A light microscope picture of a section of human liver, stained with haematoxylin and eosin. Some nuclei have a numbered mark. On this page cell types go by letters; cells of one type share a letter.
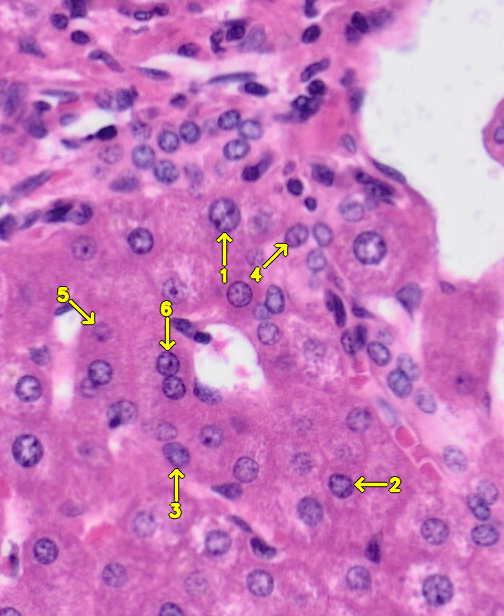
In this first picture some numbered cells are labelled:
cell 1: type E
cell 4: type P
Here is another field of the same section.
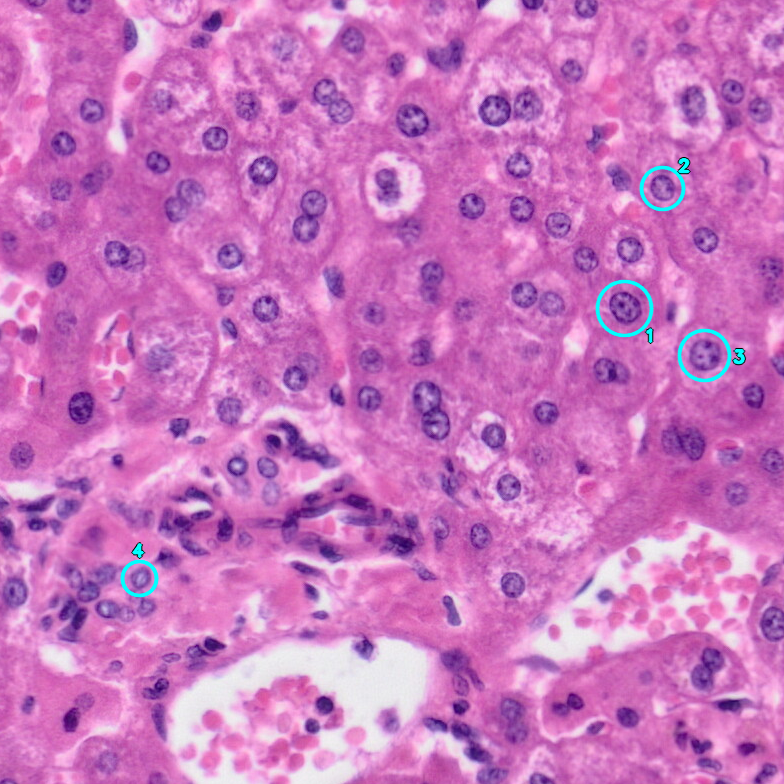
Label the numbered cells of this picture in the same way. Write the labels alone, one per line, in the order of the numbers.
type E
type E
type E
type P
